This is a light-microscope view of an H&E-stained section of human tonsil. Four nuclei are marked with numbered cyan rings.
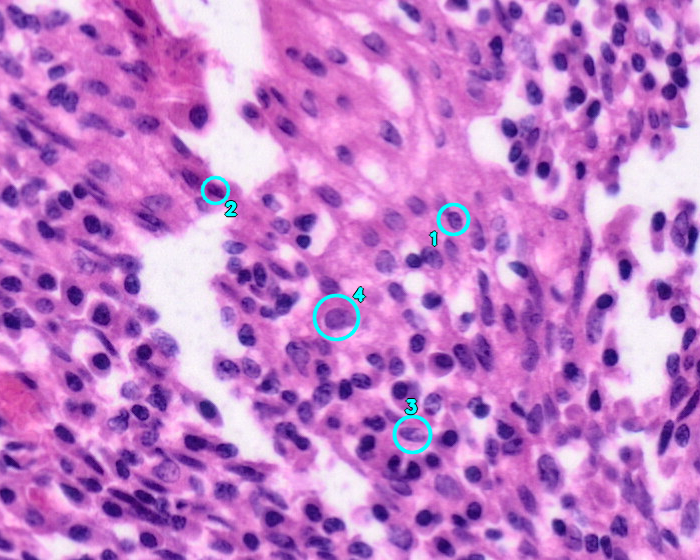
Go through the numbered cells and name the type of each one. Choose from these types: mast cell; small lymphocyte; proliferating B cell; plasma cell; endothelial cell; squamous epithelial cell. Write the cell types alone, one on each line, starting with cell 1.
squamous epithelial cell
squamous epithelial cell
plasma cell
squamous epithelial cell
